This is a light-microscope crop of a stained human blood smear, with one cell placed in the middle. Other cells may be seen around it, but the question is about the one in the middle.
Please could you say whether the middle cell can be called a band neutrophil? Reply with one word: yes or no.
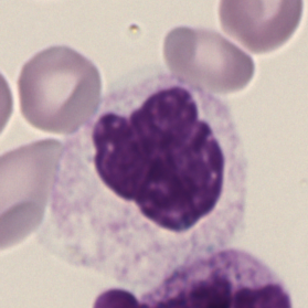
no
